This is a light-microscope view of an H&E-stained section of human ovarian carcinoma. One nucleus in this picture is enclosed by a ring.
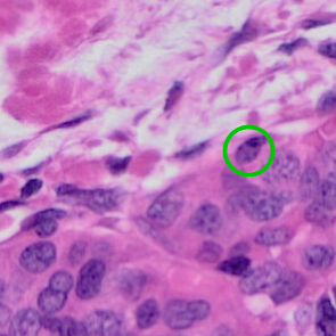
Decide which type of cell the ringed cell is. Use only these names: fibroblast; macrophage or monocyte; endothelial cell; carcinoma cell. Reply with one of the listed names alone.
macrophage or monocyte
